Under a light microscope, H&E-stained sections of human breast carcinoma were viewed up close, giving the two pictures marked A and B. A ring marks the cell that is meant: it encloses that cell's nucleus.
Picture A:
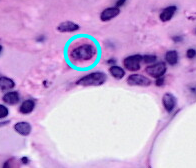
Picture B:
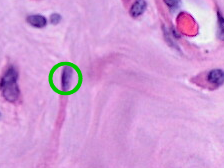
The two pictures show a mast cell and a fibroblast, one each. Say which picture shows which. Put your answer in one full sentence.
Picture B shows a fibroblast, while picture A shows a mast cell.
